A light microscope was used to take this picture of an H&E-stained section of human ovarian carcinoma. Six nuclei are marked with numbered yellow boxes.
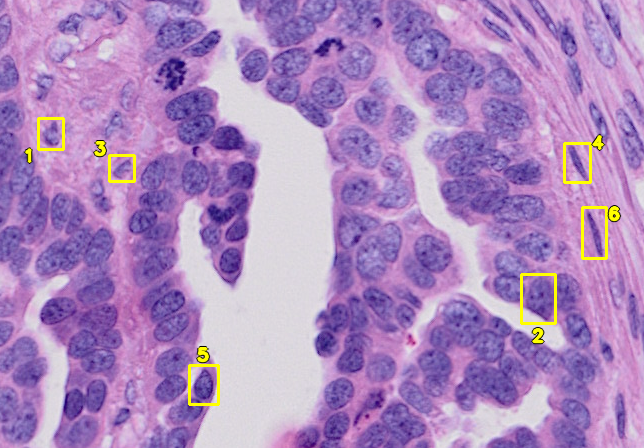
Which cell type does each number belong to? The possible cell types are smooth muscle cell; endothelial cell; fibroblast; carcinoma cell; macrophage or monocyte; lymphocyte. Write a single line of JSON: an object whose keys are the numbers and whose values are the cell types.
{"1": "fibroblast", "2": "carcinoma cell", "3": "fibroblast", "4": "fibroblast", "5": "carcinoma cell", "6": "fibroblast"}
